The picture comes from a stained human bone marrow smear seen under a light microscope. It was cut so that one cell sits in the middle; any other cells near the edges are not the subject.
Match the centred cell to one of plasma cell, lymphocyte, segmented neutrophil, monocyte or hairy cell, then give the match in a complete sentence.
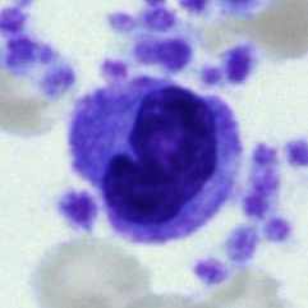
This crop is built around a monocyte at its centre.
